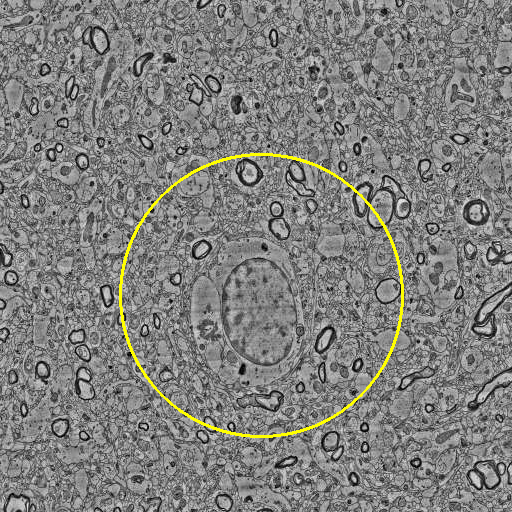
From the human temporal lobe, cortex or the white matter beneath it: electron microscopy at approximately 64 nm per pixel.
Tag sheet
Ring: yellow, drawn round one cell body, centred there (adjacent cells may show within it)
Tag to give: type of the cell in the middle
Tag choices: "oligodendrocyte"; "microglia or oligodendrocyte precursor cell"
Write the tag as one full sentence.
I tag the cell centred in the yellow ring as a microglial cell or oligodendrocyte precursor cell in this picture.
